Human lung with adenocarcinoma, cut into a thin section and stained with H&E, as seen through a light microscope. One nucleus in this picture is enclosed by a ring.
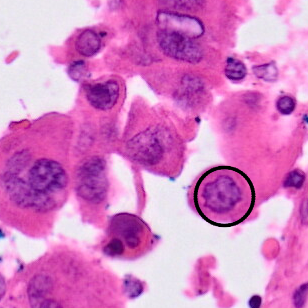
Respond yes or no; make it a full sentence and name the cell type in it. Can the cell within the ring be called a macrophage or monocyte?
No, the cell within the ring is a carcinoma cell; calling it a macrophage or monocyte would be wrong.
